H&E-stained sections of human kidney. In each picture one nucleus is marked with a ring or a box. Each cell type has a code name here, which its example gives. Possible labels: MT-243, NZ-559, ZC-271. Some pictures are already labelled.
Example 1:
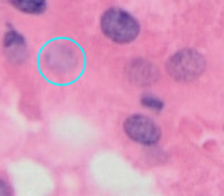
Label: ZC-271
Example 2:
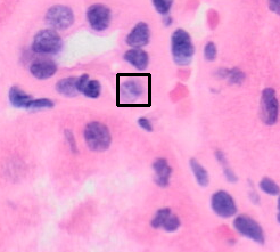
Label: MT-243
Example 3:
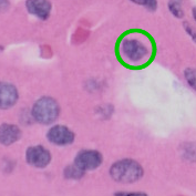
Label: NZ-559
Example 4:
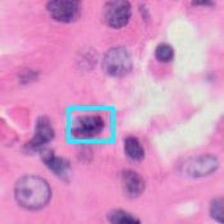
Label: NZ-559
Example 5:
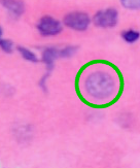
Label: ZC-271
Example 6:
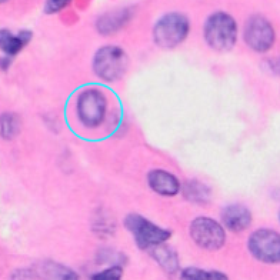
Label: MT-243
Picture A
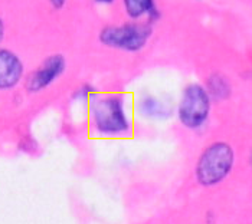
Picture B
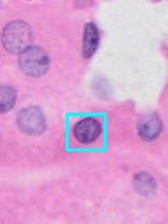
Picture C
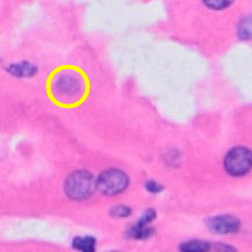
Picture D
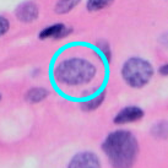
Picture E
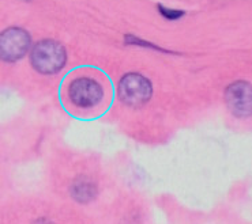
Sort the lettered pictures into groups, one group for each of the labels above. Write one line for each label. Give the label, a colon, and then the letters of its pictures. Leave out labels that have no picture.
MT-243: D
NZ-559: A
ZC-271: B, C, E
